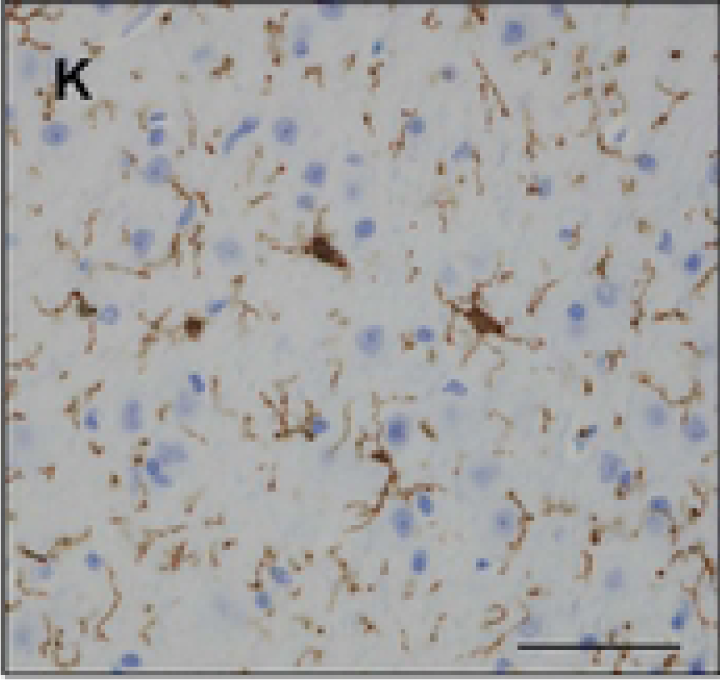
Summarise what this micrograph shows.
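Brain tissue in which microglia are stained brown on a pale background with blue-counterstained nuclei. The microglia have small, dark, irregular cell bodies from which thin, branching, wavy processes extend, giving each cell a ramified, spidery outline. A few cells are larger and more darkly stained. The cells are distributed fairly evenly through the field, with their processes forming a loose, scattered network of short brown fragments. Round pale blue nuclei of unstained cells lie in between, some large and open. There is no clustering of stained cells into dense groups.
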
